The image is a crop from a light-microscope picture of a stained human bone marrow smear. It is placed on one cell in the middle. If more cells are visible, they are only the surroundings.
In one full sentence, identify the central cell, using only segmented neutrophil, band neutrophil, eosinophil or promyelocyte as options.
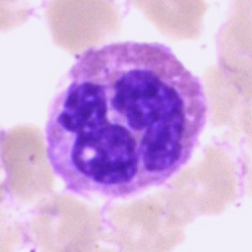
At the center of the crop sits an eosinophil.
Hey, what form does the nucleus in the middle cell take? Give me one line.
Kindly observe that the nucleus forms two or more lobes.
